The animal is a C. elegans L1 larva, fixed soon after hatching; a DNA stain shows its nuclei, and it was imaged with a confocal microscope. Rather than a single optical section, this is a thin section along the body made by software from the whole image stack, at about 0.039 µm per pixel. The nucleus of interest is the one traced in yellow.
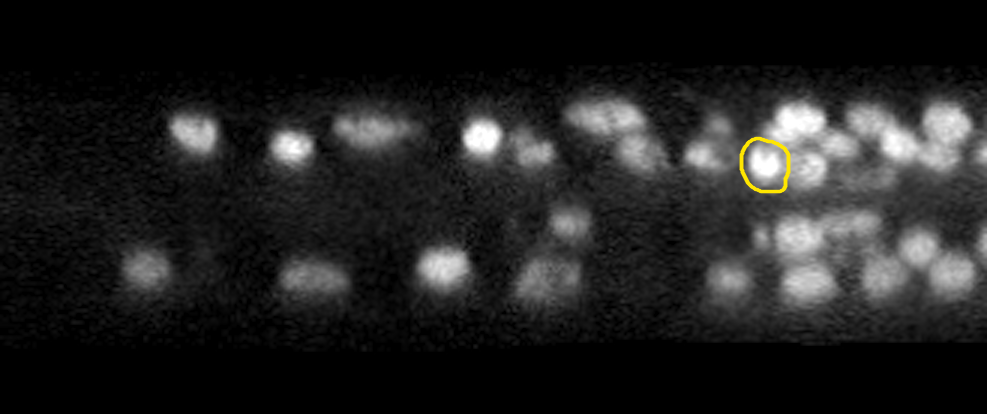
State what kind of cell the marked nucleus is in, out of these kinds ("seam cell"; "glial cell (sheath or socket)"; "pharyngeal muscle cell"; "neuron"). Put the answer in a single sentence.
The marked nucleus belongs to a neuron.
